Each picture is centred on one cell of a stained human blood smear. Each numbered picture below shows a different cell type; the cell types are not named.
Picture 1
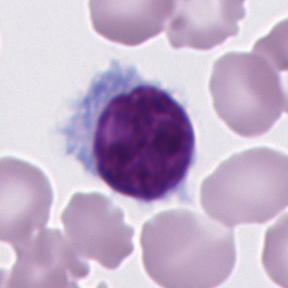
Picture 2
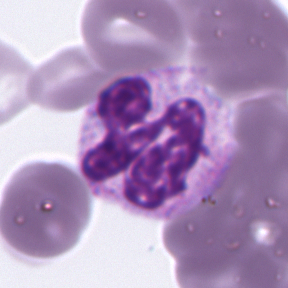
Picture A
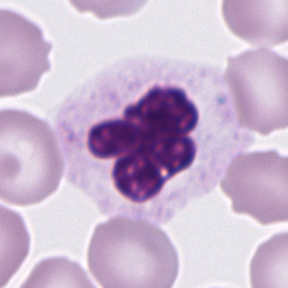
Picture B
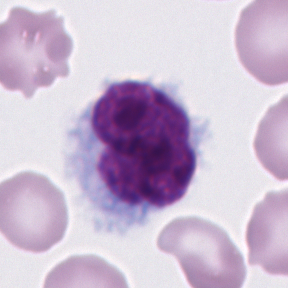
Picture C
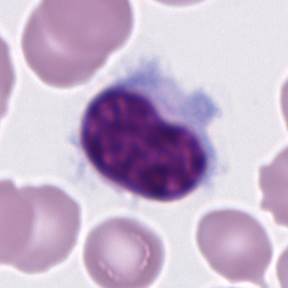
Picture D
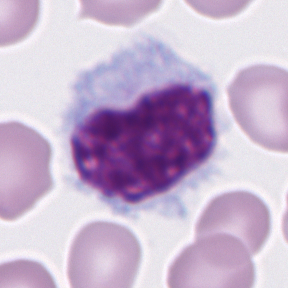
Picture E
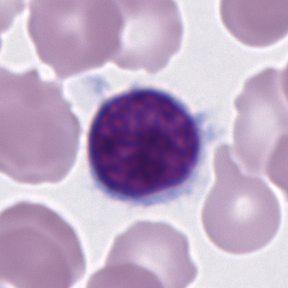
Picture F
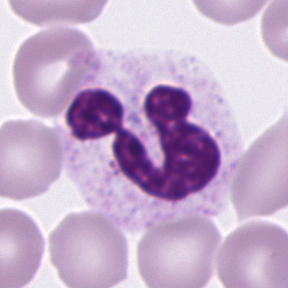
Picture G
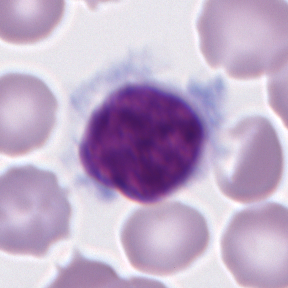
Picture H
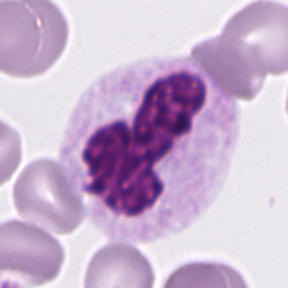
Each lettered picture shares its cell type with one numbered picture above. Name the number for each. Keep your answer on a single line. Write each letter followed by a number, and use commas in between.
A 2, B 1, C 1, D 1, E 1, F 2, G 1, H 2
